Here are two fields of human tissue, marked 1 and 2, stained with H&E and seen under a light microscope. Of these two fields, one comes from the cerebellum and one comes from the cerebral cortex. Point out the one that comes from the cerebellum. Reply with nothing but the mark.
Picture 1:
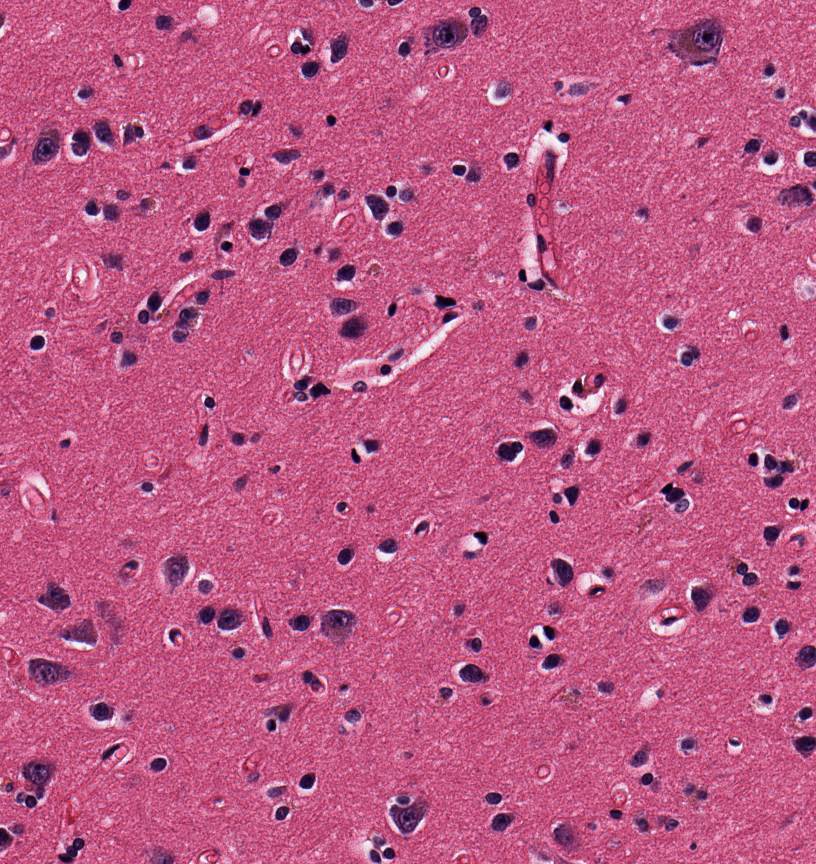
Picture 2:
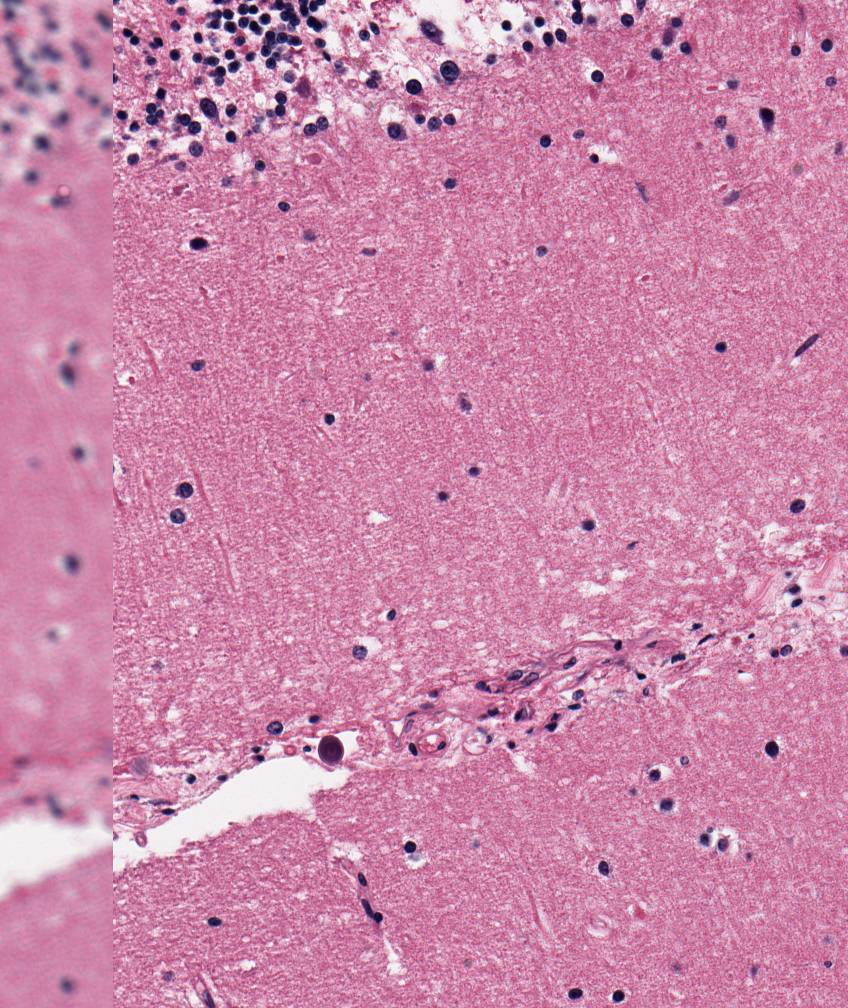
2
